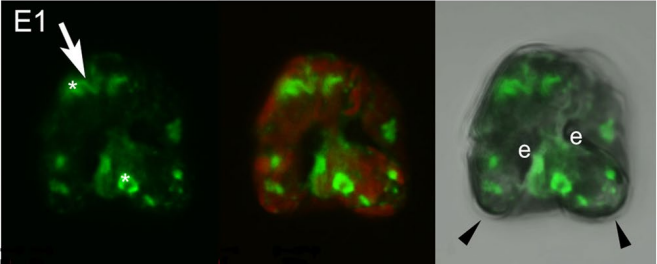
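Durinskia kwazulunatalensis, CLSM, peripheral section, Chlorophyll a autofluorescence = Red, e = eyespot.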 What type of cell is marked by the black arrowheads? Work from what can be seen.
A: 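Daughter cells. The black arrowheads point at the two lower lobes of the dividing cell.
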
